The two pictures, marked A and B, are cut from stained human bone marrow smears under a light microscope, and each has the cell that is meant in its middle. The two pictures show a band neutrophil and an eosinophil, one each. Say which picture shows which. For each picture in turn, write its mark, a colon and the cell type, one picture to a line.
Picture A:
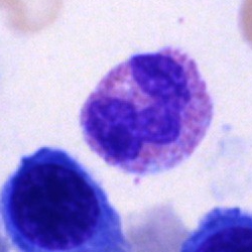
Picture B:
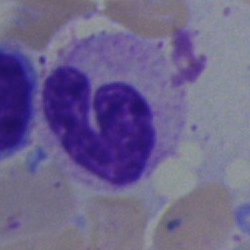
A: eosinophil
B: band neutrophil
